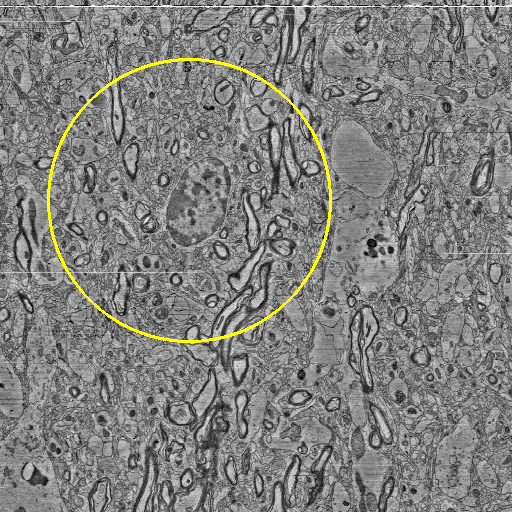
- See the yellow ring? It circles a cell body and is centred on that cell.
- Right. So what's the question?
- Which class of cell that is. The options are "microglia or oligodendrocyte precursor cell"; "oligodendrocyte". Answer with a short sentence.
The centre of the ring holds a microglial cell or oligodendrocyte precursor cell.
